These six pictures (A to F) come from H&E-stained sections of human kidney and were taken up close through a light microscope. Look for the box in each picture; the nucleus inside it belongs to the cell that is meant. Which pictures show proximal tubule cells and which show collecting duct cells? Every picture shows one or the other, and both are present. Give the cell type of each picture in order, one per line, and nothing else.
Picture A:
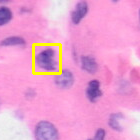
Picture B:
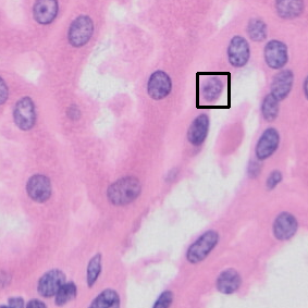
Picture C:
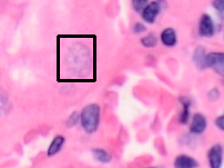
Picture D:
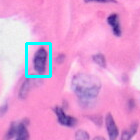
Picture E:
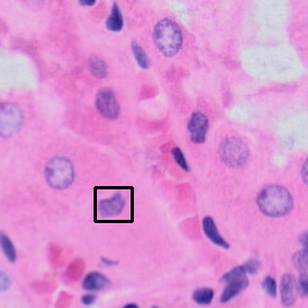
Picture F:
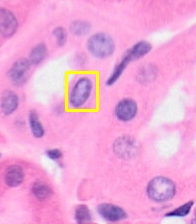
collecting duct cell
collecting duct cell
proximal tubule cell
collecting duct cell
proximal tubule cell
collecting duct cell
